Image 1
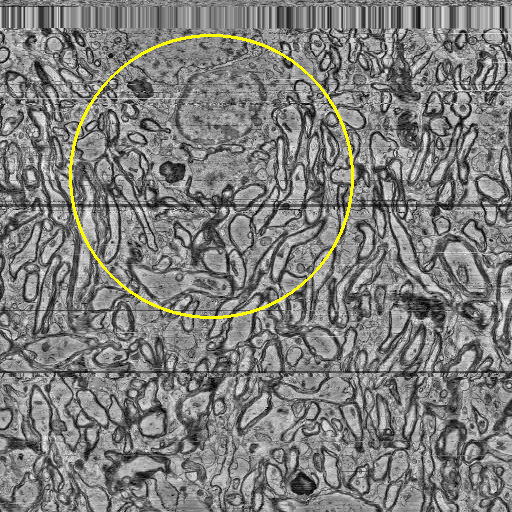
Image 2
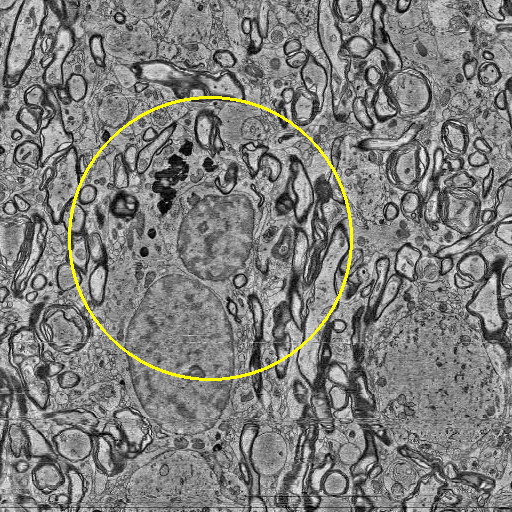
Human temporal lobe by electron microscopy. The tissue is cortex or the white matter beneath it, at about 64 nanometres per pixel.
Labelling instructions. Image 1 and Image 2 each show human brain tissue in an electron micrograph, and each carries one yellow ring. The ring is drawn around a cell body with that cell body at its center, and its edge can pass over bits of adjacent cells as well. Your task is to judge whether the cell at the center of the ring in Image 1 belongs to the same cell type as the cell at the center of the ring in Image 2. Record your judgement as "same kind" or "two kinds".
same kind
